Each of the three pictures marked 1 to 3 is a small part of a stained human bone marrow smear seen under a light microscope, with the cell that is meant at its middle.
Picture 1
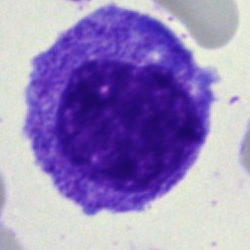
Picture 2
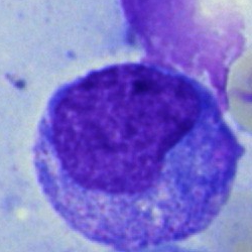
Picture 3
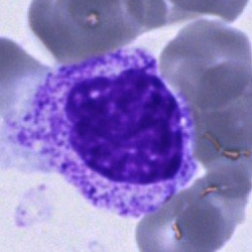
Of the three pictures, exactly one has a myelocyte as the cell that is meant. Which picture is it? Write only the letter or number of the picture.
3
